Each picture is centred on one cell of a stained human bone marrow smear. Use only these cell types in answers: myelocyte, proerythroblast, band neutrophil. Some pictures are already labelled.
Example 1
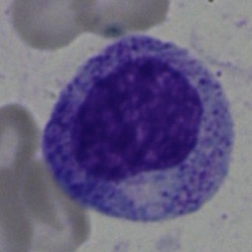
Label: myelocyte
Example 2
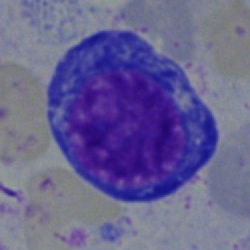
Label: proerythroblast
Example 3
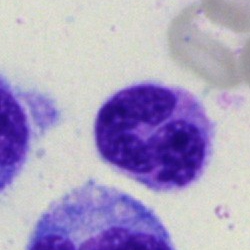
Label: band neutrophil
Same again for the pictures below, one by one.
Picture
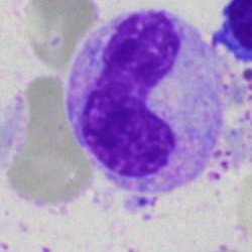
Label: band neutrophil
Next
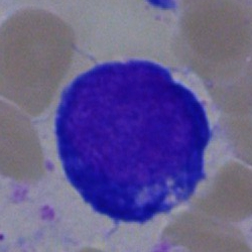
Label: proerythroblast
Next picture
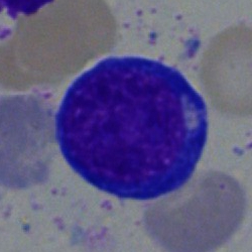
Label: proerythroblast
